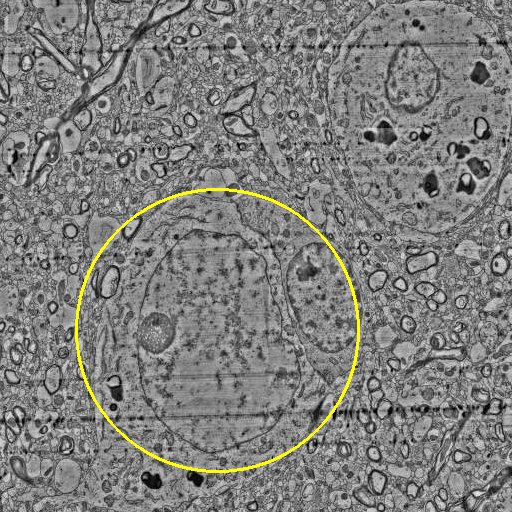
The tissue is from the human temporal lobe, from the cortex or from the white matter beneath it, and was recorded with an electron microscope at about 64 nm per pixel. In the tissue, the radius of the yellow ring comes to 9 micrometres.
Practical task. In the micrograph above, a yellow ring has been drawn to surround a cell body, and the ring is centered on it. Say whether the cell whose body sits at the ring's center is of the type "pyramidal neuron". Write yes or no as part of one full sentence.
Yes, the cell at the center of the ring above is of the type asked about.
